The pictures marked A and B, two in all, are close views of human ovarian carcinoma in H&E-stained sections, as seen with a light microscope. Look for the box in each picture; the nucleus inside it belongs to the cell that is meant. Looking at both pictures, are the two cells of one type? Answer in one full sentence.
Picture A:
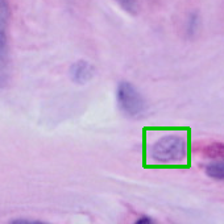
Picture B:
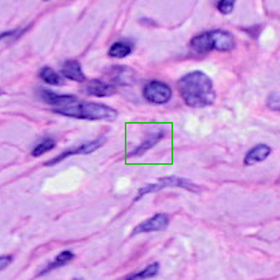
No. Picture A shows an endothelial cell, but picture B shows a fibroblast.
